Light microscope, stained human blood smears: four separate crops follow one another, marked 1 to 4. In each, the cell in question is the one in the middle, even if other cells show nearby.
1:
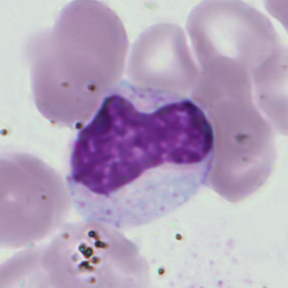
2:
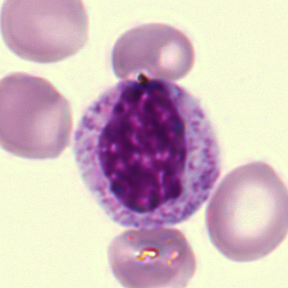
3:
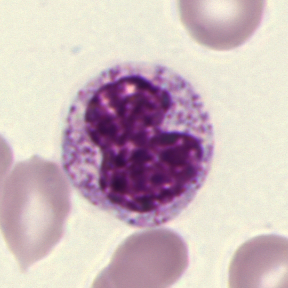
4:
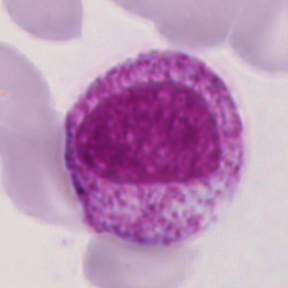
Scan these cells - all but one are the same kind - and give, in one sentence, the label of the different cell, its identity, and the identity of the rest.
All the crops show metamyelocytes, barring crop 4, which is a myelocyte.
